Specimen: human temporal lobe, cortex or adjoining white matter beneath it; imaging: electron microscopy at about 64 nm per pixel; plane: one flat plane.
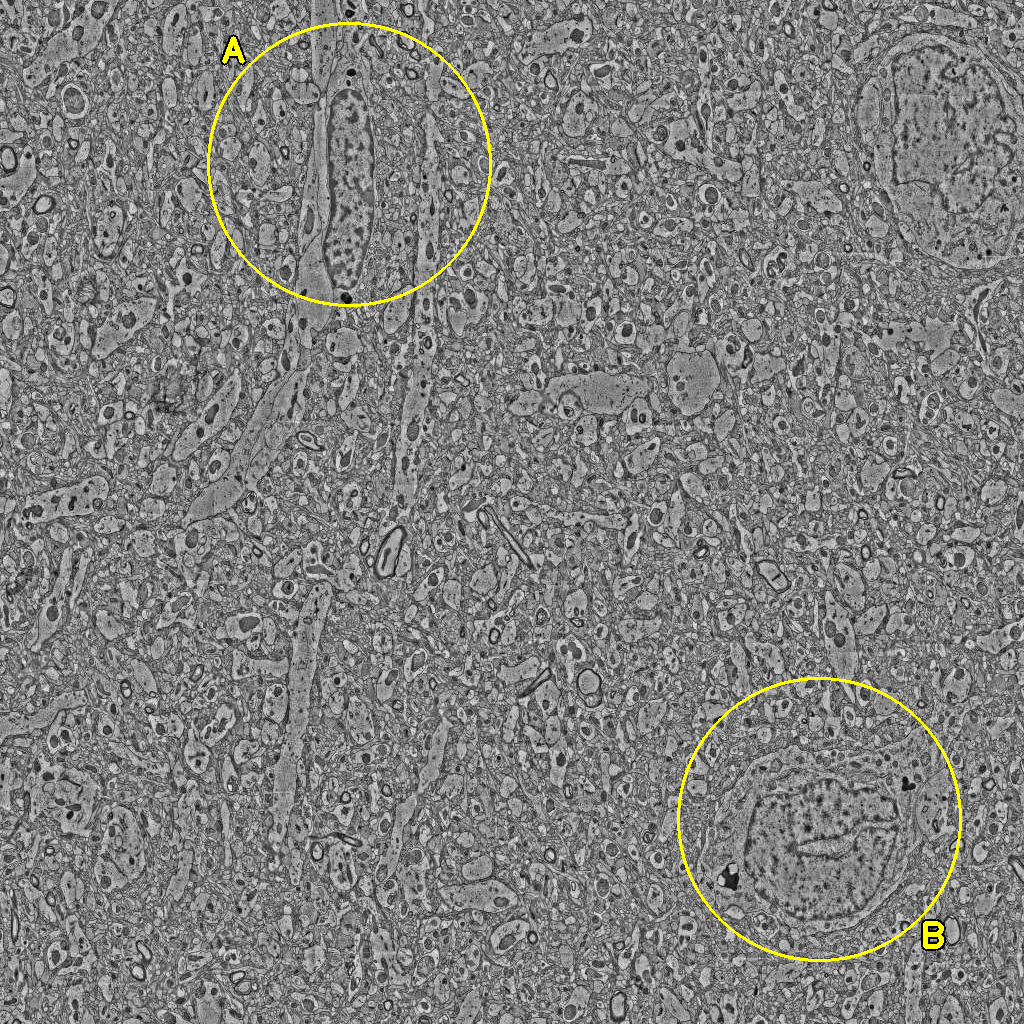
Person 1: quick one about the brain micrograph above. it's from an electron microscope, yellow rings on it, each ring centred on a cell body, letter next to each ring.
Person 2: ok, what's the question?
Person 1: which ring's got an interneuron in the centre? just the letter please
B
